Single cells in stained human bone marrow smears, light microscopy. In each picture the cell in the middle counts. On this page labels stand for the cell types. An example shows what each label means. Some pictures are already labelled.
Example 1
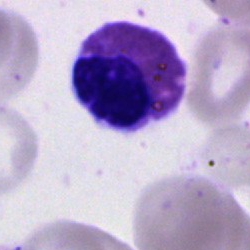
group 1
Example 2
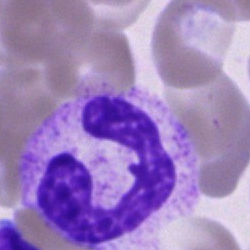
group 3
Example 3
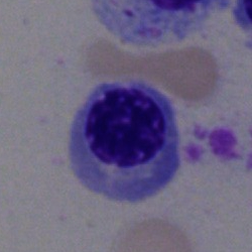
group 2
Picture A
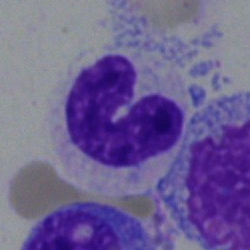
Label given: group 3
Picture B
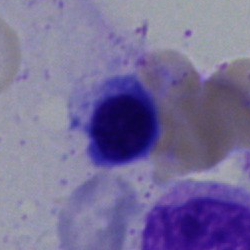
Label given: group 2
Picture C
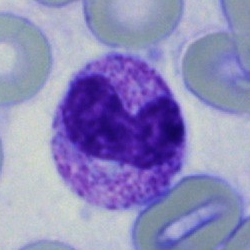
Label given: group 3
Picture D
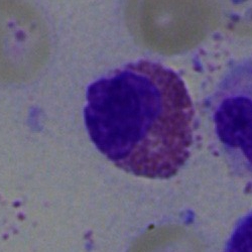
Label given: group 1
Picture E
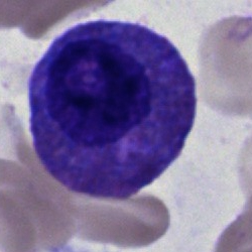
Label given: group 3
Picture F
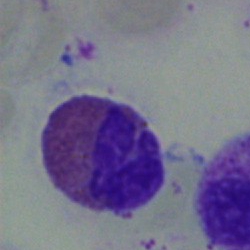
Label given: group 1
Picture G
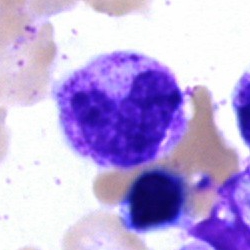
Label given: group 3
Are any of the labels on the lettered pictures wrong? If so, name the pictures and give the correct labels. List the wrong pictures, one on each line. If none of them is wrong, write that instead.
E: not group 3 but group 1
